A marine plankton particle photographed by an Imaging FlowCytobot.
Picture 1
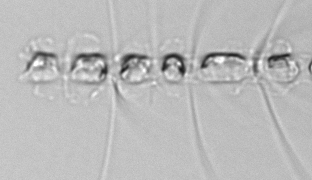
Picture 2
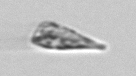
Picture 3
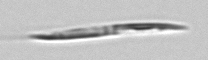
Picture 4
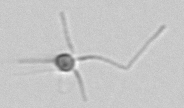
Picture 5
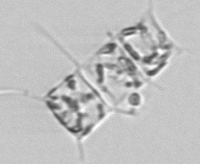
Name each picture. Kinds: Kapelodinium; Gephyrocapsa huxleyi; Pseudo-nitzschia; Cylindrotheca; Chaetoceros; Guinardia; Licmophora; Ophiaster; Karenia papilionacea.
1: Chaetoceros
2: Licmophora
3: Pseudo-nitzschia
4: Ophiaster
5: Chaetoceros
